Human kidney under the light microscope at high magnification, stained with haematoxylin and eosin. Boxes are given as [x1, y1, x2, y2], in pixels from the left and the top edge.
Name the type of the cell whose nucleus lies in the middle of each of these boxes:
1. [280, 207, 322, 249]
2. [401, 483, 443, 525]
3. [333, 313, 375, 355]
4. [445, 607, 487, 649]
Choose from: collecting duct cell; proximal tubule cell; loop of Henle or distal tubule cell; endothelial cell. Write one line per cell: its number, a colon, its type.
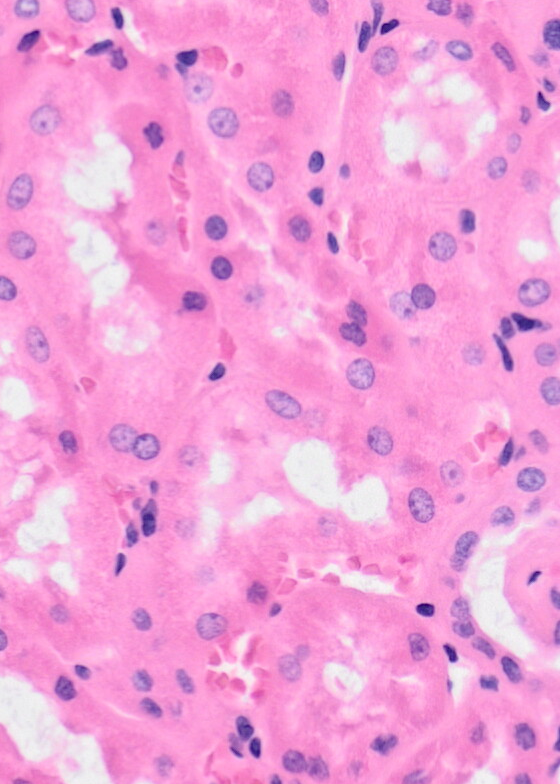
1: proximal tubule cell
2: proximal tubule cell
3: proximal tubule cell
4: collecting duct cell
